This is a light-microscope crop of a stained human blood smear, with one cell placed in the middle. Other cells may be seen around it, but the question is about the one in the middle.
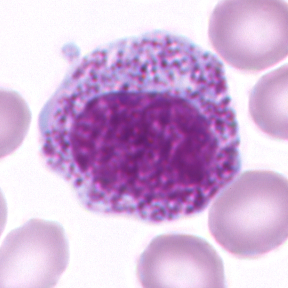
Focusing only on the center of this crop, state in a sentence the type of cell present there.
The cell at the centre of the field is a myelocyte.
